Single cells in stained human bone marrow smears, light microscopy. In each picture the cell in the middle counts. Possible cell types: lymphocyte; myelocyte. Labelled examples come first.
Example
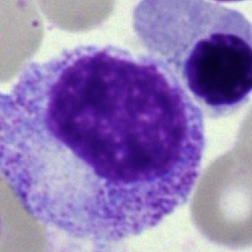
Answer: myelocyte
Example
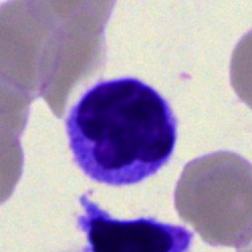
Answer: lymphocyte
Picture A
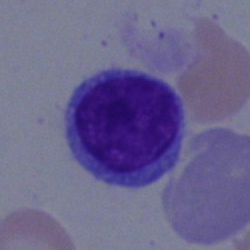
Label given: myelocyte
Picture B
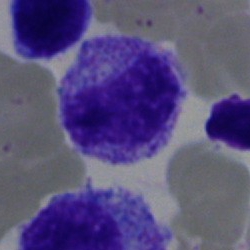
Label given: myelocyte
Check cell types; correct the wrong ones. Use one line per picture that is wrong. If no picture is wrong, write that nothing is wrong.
Wrong: A (myelocyte); correct: lymphocyte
